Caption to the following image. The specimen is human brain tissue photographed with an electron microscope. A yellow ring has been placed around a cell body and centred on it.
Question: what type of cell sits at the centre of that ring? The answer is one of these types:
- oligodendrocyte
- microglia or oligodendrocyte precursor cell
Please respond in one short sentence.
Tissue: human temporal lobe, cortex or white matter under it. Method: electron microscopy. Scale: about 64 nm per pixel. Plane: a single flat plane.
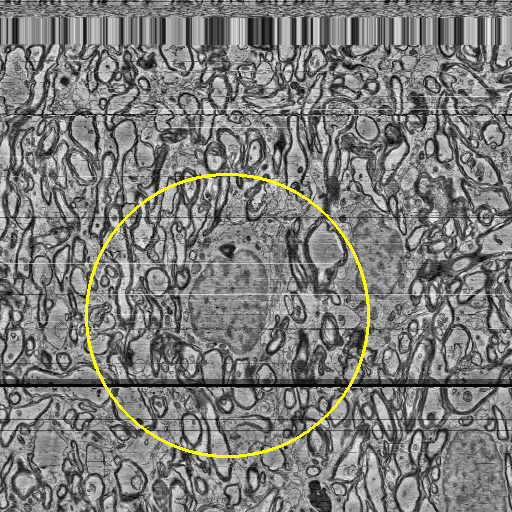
The ring surrounds the cell body of an oligodendrocyte.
